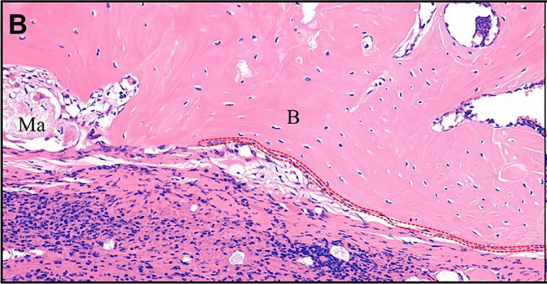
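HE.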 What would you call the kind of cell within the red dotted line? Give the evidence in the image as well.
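Osteoblasts. The red dotted line runs along the surface of the pink bone matrix. A thin layer of cells with dark nuclei lies against that bone surface.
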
